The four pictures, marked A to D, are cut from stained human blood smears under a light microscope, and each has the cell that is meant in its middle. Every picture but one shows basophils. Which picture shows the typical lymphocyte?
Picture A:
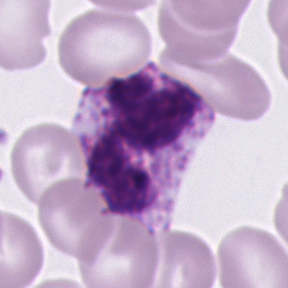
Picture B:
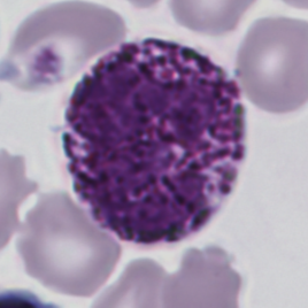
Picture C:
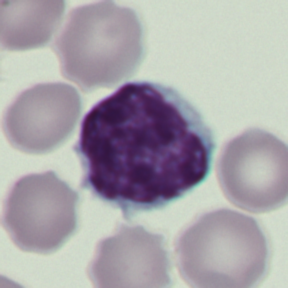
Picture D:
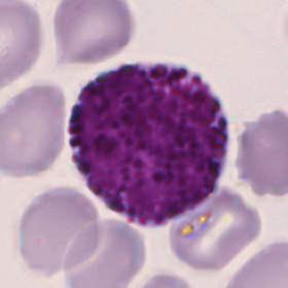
C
